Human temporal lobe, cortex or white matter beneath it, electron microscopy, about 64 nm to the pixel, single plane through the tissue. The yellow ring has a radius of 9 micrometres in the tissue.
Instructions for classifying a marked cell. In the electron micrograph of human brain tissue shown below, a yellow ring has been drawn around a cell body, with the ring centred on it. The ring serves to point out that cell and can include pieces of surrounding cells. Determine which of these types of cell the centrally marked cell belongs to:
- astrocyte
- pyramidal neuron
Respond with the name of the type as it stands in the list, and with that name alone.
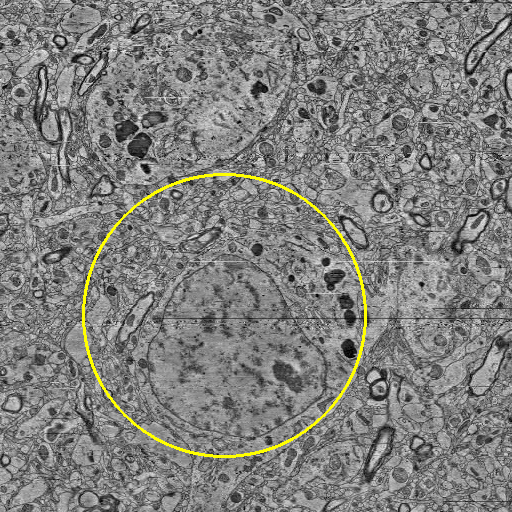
pyramidal neuron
